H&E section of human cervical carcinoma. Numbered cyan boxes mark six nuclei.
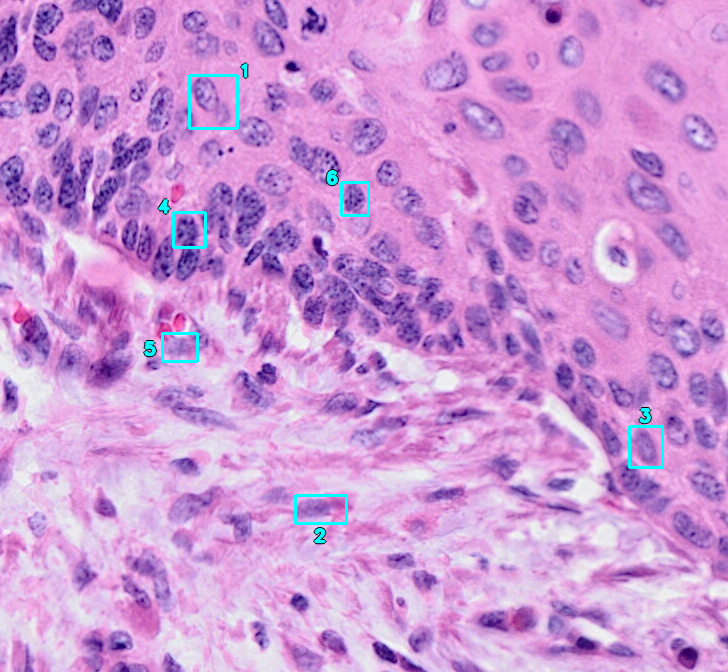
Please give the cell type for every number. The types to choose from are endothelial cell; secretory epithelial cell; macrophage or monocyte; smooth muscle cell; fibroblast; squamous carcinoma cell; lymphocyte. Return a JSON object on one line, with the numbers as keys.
{"1": "squamous carcinoma cell", "2": "fibroblast", "3": "squamous carcinoma cell", "4": "squamous carcinoma cell", "5": "endothelial cell", "6": "squamous carcinoma cell"}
